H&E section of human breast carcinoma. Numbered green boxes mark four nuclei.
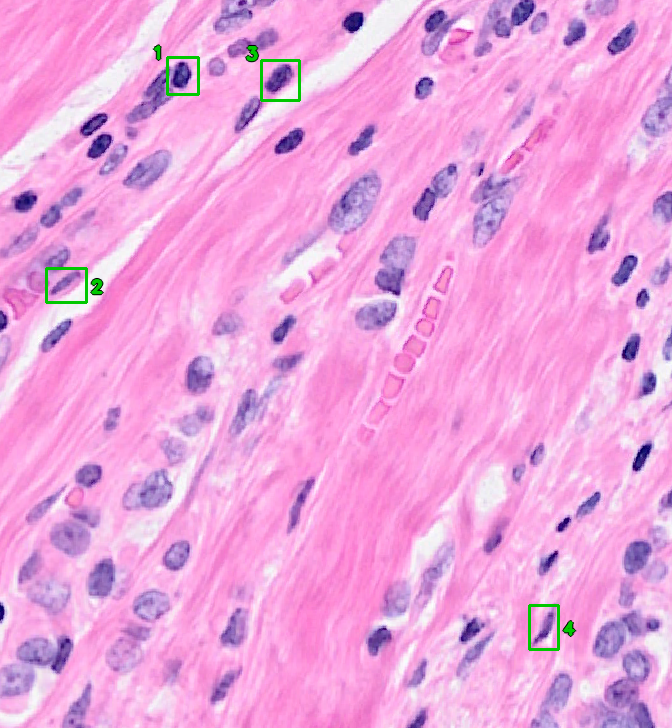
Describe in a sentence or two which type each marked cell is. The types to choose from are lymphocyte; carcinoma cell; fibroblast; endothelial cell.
Cells 1 and 3 are lymphocytes. Cell 2 is an endothelial cell. Cell 4 is a fibroblast.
